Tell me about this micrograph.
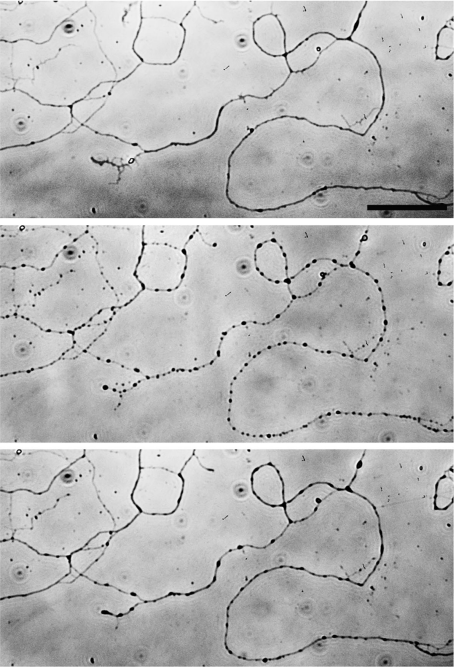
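Three unstained transmitted-light views of the same field show a network of thin, dark, winding neuronal processes on a pale grey background. In the top view the processes are smooth and of even width, while in the middle view they are studded along their length with many small dark bead-like swellings. In the bottom view the processes look largely smooth again, with fewer swellings remaining.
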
